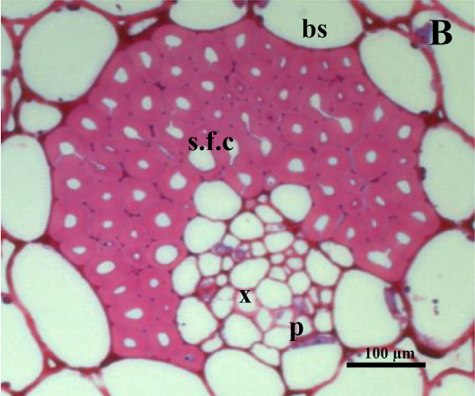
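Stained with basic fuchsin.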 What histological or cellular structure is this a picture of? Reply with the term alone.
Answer: Vascular bundles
